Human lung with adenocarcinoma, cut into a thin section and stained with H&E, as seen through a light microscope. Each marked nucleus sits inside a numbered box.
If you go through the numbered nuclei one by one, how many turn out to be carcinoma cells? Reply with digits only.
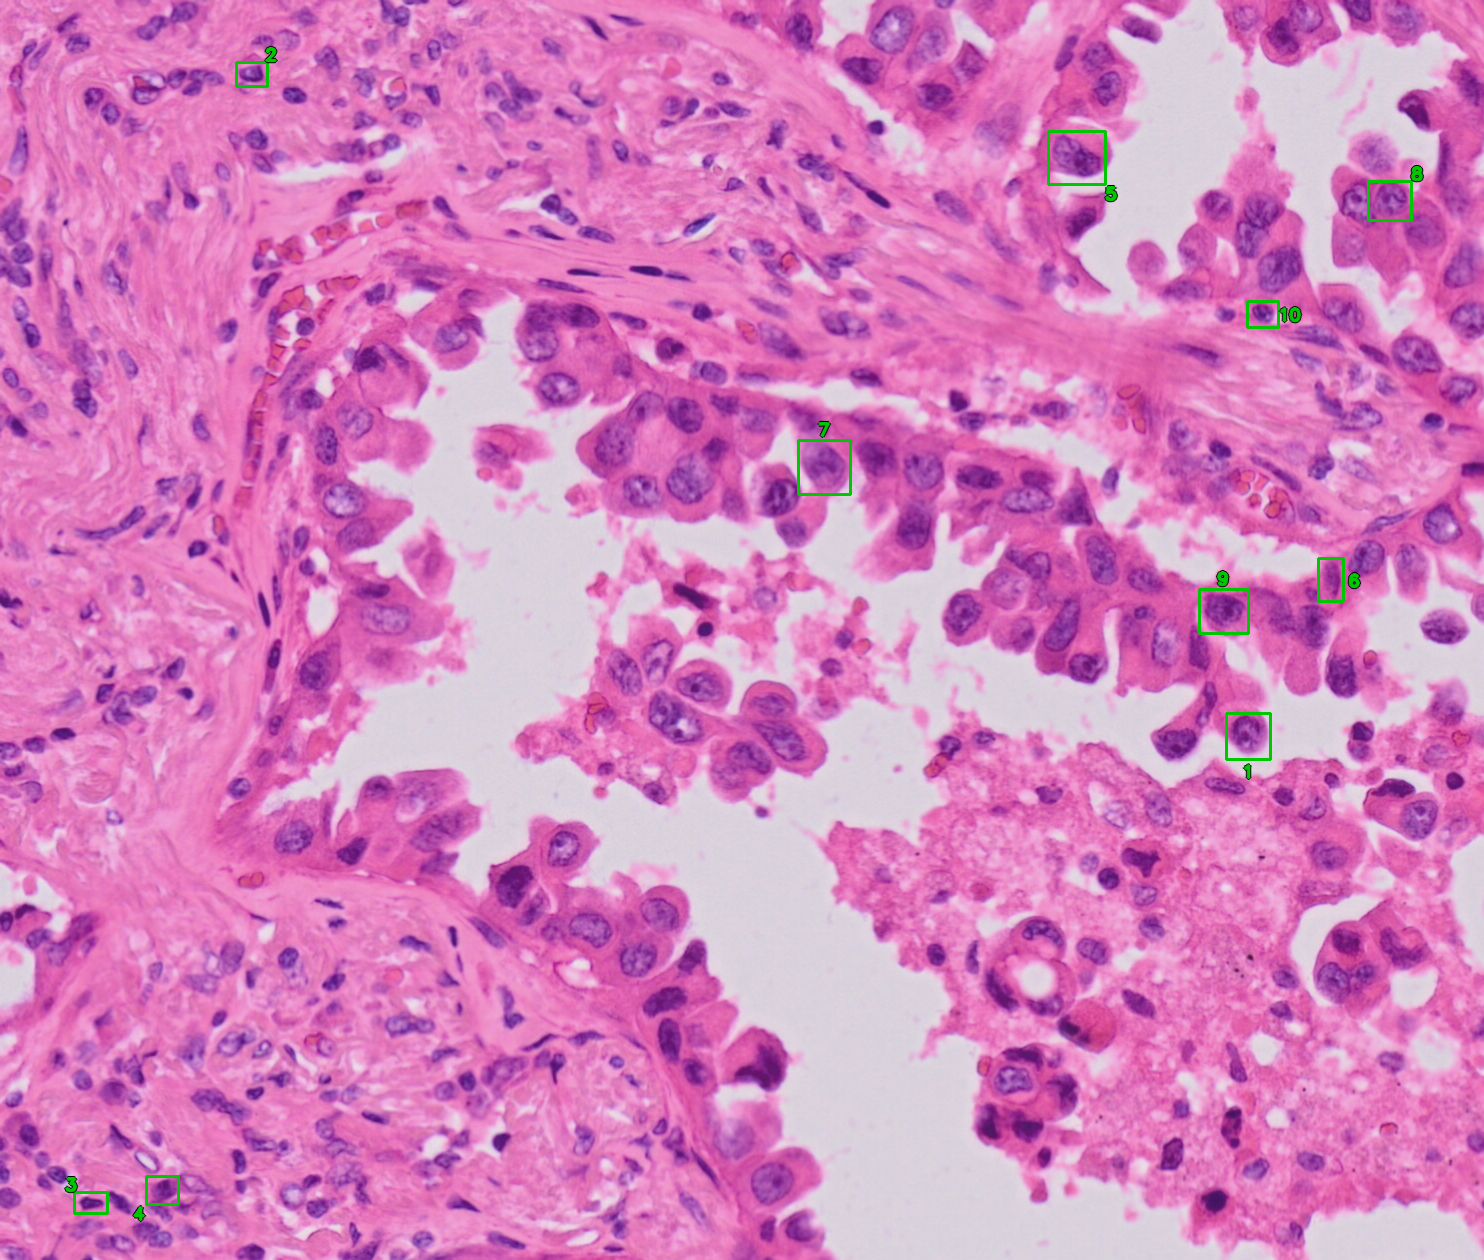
6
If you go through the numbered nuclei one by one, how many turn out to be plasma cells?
2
